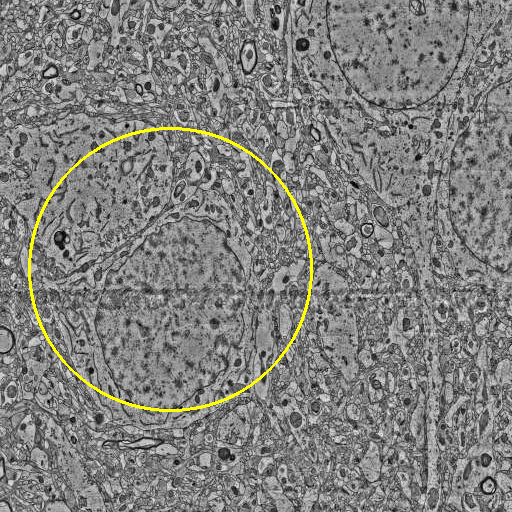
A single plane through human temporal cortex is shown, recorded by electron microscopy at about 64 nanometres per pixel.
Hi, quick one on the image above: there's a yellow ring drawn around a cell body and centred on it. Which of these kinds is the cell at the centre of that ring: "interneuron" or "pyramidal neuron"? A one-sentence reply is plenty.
The cell at the centre of the ring is an interneuron.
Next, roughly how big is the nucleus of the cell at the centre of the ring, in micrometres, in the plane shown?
In this plane the nucleus measures roughly 13 by 9 micrometres.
